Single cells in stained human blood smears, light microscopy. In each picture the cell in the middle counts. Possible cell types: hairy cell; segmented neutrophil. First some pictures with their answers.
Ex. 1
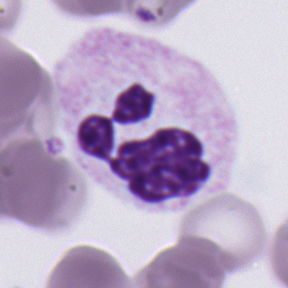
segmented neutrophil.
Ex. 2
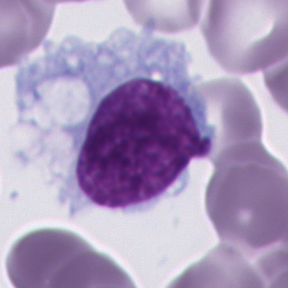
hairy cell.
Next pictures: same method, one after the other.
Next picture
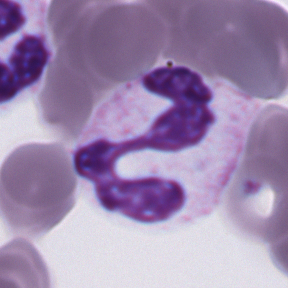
segmented neutrophil.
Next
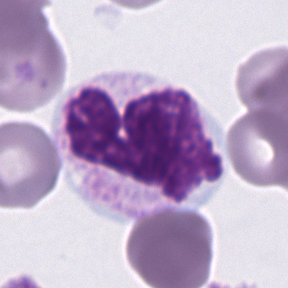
segmented neutrophil.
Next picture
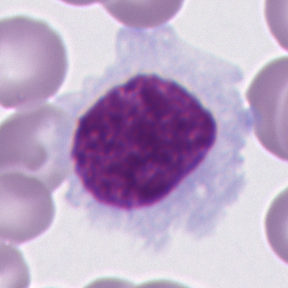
hairy cell.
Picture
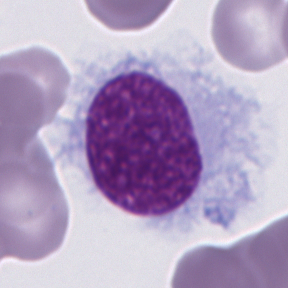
hairy cell.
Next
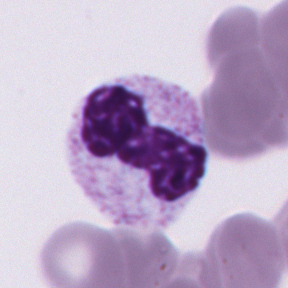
segmented neutrophil.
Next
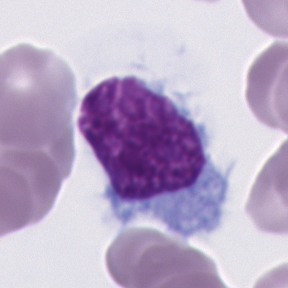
hairy cell.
